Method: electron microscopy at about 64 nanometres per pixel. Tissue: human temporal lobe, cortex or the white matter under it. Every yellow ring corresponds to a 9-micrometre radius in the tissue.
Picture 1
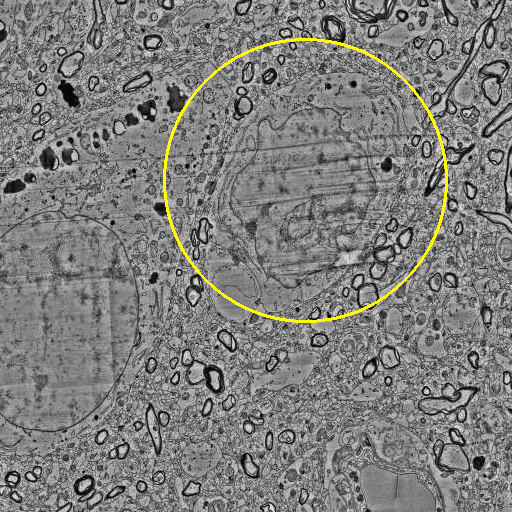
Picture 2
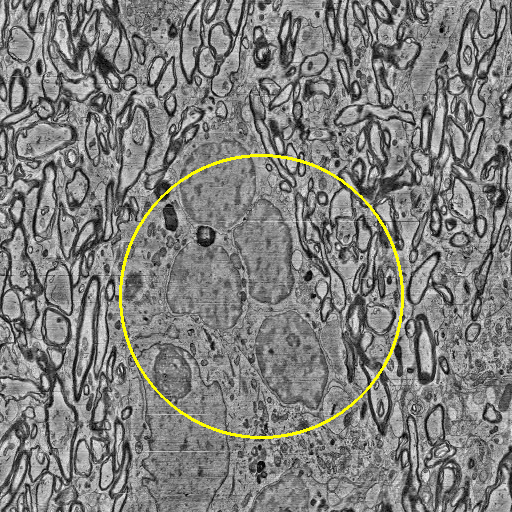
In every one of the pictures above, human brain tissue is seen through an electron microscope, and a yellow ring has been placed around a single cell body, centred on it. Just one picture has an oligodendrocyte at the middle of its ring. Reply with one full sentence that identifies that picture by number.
It is picture 2 that shows the wanted cell at its ring's centre.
